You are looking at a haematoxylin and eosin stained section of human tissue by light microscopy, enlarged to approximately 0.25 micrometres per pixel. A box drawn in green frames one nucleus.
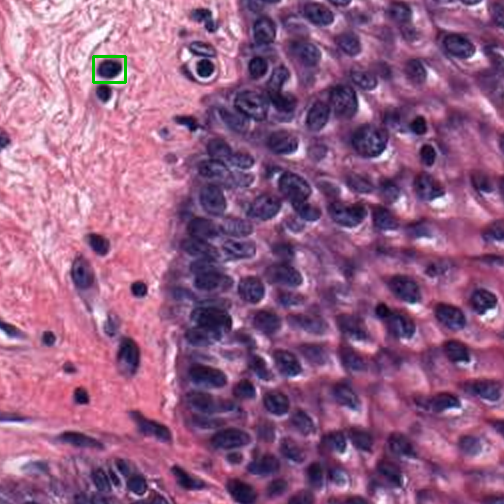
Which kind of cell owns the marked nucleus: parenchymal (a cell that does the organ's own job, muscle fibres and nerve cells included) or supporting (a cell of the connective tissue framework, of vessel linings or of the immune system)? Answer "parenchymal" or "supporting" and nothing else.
supporting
